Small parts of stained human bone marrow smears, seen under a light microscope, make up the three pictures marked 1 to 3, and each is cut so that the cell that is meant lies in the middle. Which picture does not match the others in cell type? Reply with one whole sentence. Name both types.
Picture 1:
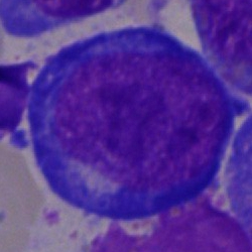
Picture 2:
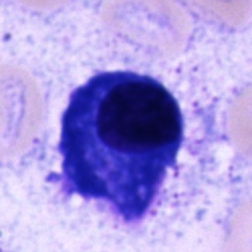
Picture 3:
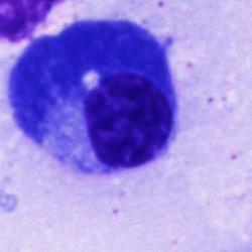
All pictures except 1 show plasma cells; picture 1 shows a proerythroblast.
